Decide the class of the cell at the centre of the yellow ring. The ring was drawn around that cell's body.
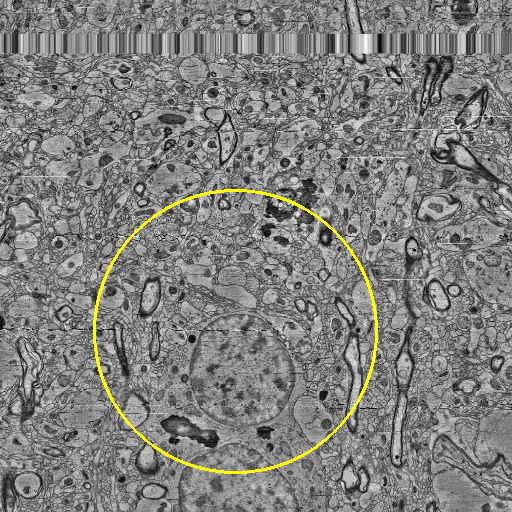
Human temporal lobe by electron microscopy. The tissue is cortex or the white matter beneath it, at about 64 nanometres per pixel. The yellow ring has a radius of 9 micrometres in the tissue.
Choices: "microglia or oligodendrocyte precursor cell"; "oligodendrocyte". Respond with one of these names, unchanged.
oligodendrocyte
